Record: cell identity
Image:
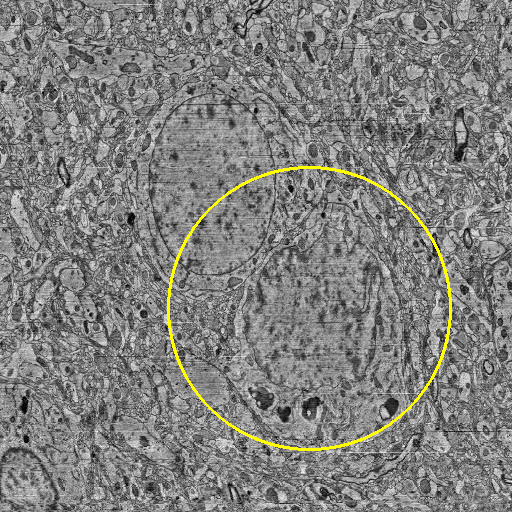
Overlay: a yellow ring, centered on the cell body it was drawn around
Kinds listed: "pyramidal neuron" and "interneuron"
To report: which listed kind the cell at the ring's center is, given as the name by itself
interneuron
